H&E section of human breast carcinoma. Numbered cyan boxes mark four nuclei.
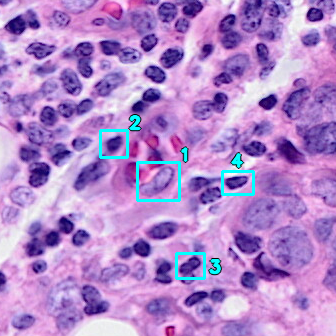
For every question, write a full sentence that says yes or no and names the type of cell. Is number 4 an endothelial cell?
No, the identification of cell 4 as an endothelial cell is incorrect; it is a lymphocyte.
